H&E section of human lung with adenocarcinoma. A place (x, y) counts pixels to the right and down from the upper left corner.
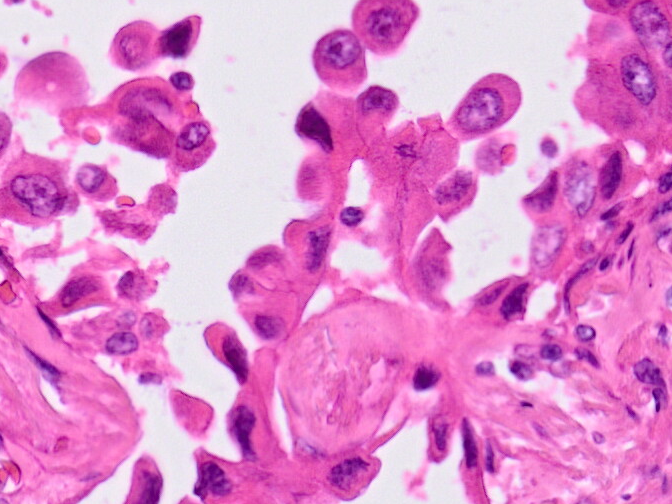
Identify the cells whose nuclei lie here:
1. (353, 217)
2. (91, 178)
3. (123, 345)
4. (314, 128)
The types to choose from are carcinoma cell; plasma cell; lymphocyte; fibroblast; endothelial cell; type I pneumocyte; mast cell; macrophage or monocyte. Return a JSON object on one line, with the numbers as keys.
{"1": "lymphocyte", "2": "macrophage or monocyte", "3": "macrophage or monocyte", "4": "carcinoma cell"}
